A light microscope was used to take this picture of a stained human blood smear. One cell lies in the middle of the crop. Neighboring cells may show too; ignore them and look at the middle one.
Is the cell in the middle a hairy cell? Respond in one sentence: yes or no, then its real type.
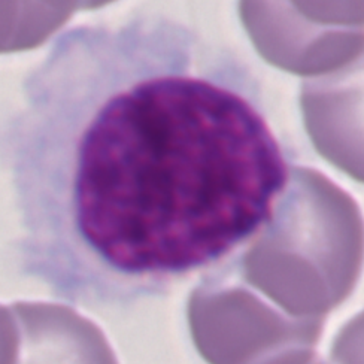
Yes, the cell at the very centre of the crop is a hairy cell.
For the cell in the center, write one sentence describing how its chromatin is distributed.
Its nuclear chromatin is gathered into coarse clumps.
